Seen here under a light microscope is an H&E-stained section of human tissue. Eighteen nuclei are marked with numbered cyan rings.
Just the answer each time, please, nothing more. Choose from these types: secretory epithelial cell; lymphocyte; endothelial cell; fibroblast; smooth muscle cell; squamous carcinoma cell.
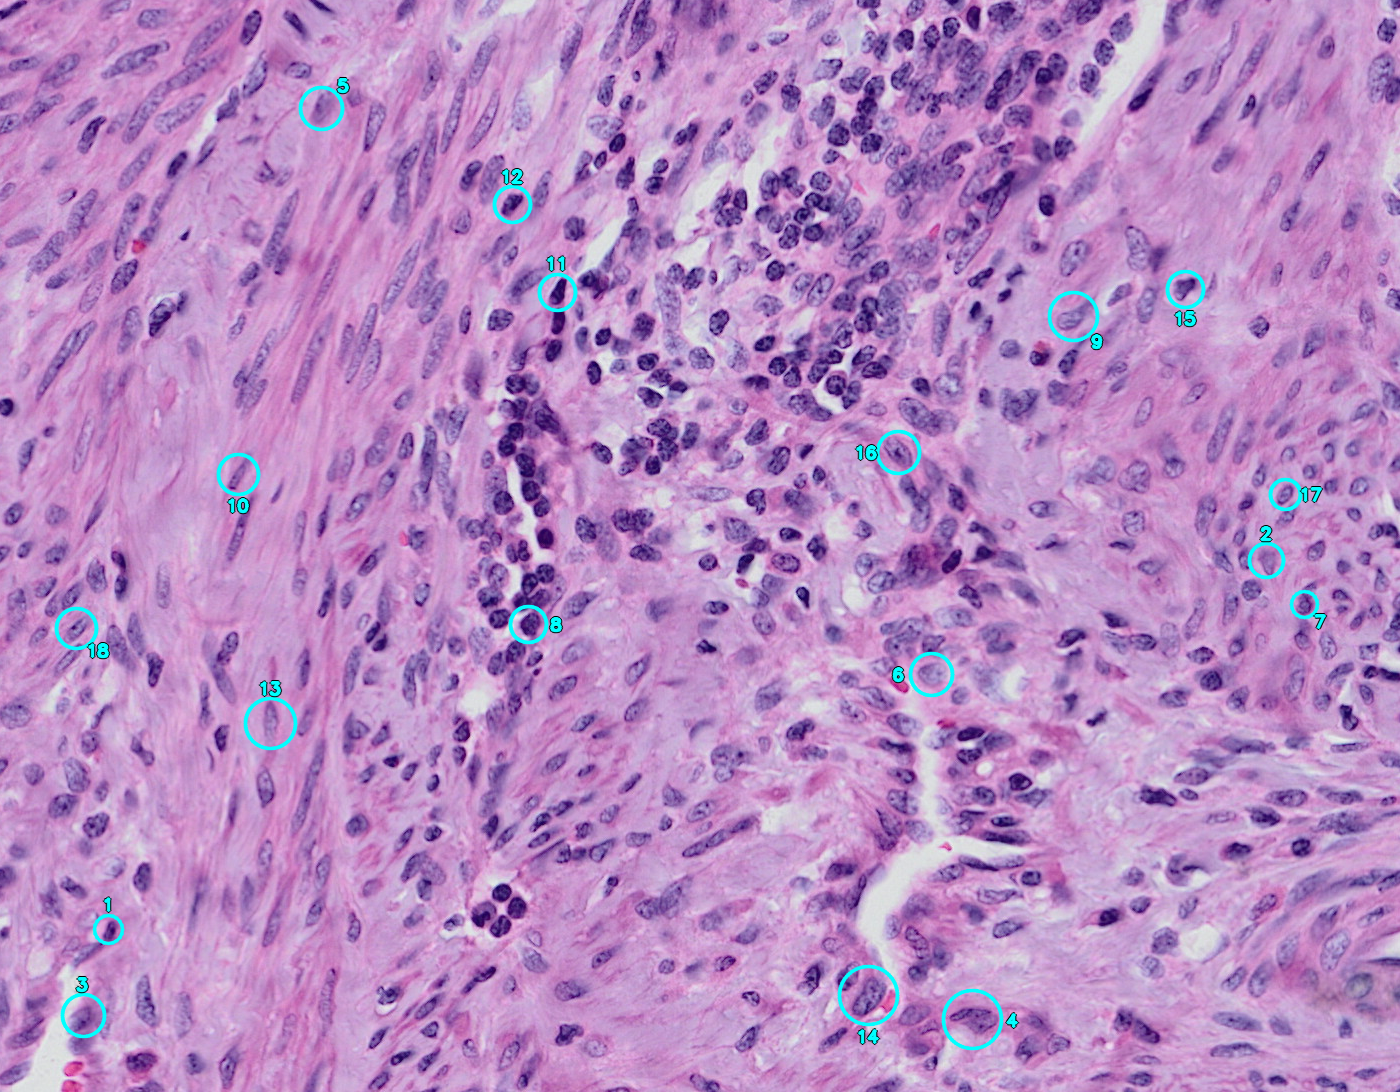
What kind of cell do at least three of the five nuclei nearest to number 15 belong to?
fibroblast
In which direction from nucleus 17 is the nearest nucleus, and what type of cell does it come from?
a smooth muscle cell; below nucleus 17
